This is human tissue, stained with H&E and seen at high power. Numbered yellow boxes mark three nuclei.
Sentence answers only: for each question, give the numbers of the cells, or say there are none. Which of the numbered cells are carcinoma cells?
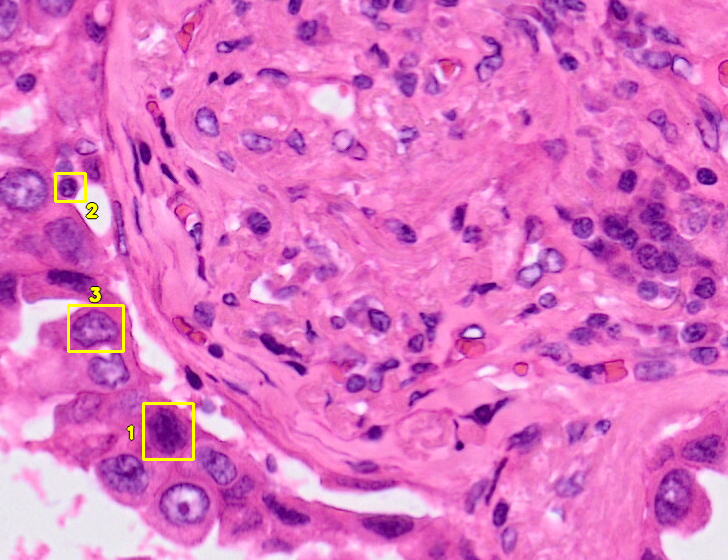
Cells 1 and 3 are carcinoma cells by cell type.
